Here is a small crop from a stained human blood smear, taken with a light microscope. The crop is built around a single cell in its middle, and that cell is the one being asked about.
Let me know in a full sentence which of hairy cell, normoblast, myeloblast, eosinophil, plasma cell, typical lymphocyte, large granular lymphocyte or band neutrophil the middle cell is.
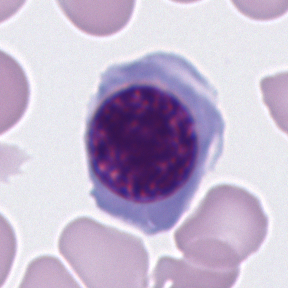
The cell at the middle of the frame should be recorded as a normoblast.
